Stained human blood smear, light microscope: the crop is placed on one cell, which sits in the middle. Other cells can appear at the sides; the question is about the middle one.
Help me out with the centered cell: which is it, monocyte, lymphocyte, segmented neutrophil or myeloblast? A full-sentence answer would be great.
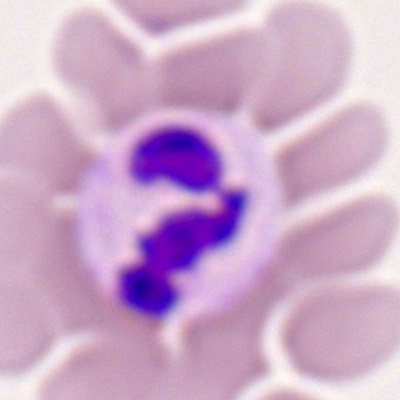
The cell at the central position in this crop is a segmented neutrophil.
